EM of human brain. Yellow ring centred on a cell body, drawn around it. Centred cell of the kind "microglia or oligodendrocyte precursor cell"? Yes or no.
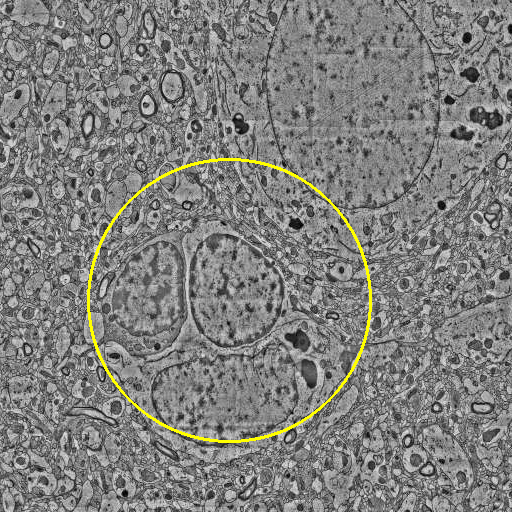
yes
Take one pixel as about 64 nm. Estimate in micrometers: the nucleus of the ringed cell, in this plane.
About 7 micrometres by about 6 micrometres in this plane.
